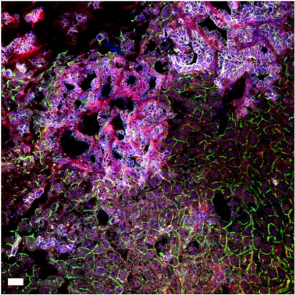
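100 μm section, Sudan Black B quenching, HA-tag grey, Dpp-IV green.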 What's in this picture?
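Across the lower and right parts, fine green lines form a regular meshwork outlining polygonal compartments the size of single liver cells, the network of vessels and small channels between the cell plates. In the upper left and centre, irregular clusters of cells light up whitish-grey with pink-red, crowded around dark, empty spaces of varying shape. Small blue nuclei are scattered throughout.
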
